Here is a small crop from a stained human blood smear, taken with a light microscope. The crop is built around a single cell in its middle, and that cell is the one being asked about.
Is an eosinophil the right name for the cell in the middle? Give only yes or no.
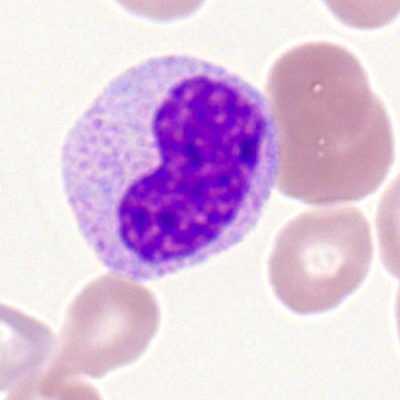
no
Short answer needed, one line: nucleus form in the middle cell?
In this cell the nucleus is a solitary compact mass, round, oval or kidney-shaped.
